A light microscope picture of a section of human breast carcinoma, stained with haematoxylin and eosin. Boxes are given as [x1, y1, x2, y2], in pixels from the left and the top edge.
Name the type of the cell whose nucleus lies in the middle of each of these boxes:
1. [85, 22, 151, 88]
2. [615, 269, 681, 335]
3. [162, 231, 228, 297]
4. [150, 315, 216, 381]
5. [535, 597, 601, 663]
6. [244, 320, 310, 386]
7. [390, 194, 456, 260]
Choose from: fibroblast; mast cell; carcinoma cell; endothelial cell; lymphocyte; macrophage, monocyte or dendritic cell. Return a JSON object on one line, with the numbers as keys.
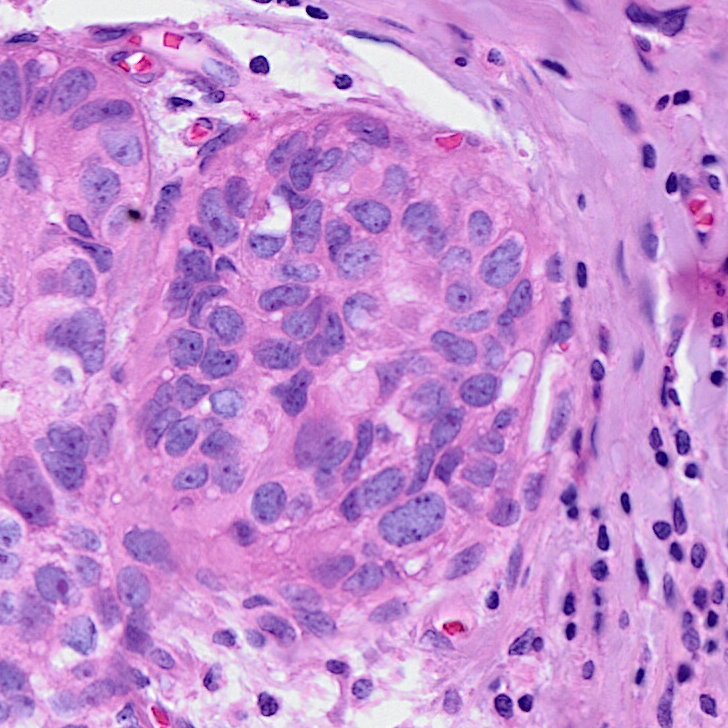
{"1": "endothelial cell", "2": "fibroblast", "3": "carcinoma cell", "4": "carcinoma cell", "5": "lymphocyte", "6": "carcinoma cell", "7": "carcinoma cell"}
